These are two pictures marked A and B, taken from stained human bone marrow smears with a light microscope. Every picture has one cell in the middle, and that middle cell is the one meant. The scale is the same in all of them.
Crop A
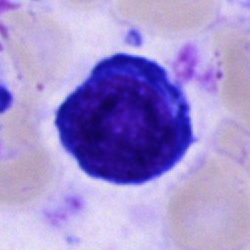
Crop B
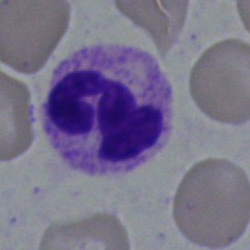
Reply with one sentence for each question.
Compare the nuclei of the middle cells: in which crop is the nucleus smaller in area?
It is the nucleus in crop B; the one in crop A has about 2 times its area.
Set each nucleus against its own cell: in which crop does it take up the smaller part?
It is the cell in crop B that is filled less by its nucleus.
